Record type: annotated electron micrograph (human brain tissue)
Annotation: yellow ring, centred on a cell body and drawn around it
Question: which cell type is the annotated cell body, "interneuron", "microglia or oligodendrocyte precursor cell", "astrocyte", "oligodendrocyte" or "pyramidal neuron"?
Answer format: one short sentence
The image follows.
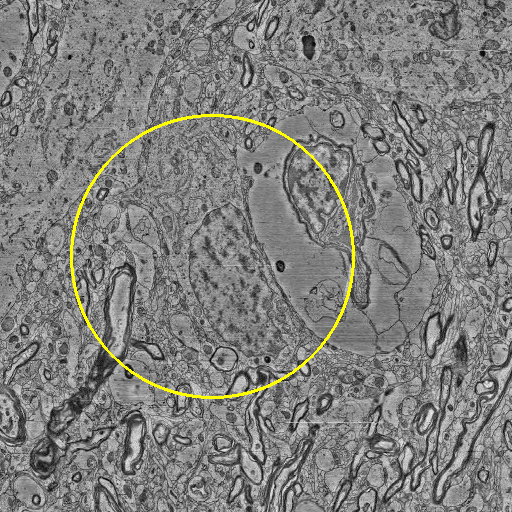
The annotated cell body is that of an interneuron.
